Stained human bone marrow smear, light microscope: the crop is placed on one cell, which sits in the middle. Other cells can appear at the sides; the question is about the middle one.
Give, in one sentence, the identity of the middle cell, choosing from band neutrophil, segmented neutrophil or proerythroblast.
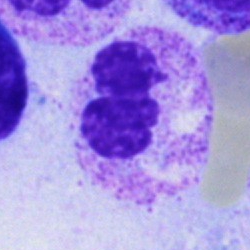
What the crop centres on is a segmented neutrophil.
